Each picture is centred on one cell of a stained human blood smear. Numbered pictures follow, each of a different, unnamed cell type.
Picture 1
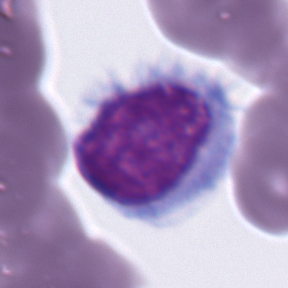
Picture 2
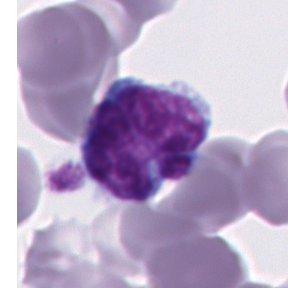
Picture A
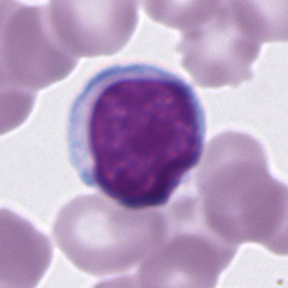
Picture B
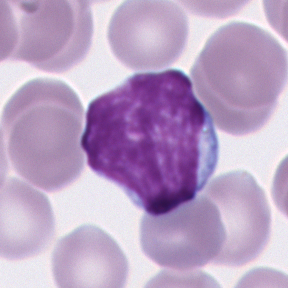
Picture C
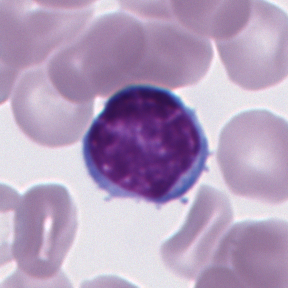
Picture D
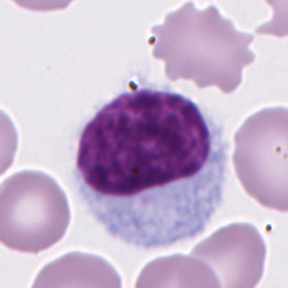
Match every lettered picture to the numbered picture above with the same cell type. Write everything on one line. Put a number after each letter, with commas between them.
A 2, B 2, C 2, D 1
